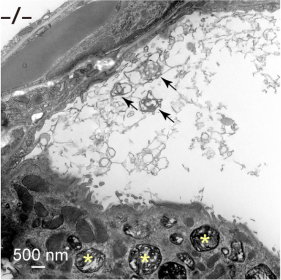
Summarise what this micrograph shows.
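This electron micrograph shows an alveolar space of the lung bordered by the cytoplasm of an alveolar epithelial cell along the bottom. The open lumen is filled with loose, pale membranous material forming small rings and lattice-like meshes, the tubular myelin of surfactant. The epithelial cell below holds several rounded, membrane-bound inclusions with dense, layered contents, the lamellar bodies, among other dark organelles. A dense band of wall tissue runs along the upper left edge.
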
